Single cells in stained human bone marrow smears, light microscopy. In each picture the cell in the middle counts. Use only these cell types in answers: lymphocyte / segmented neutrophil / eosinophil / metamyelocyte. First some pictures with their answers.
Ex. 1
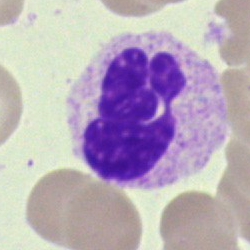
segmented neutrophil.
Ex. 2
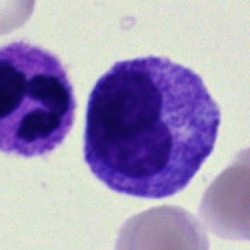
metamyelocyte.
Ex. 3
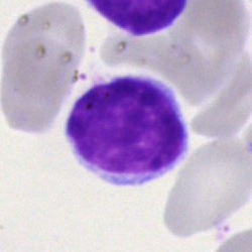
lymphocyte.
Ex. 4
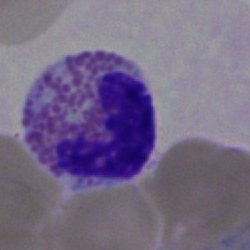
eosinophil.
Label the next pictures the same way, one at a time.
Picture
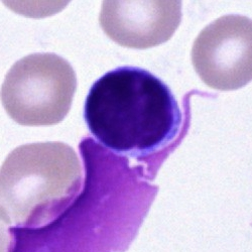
lymphocyte.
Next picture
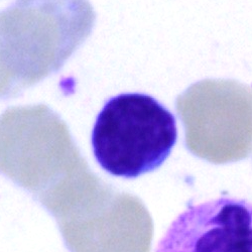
lymphocyte.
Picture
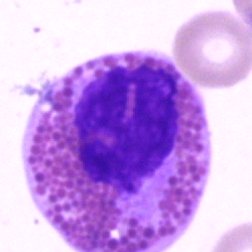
eosinophil.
